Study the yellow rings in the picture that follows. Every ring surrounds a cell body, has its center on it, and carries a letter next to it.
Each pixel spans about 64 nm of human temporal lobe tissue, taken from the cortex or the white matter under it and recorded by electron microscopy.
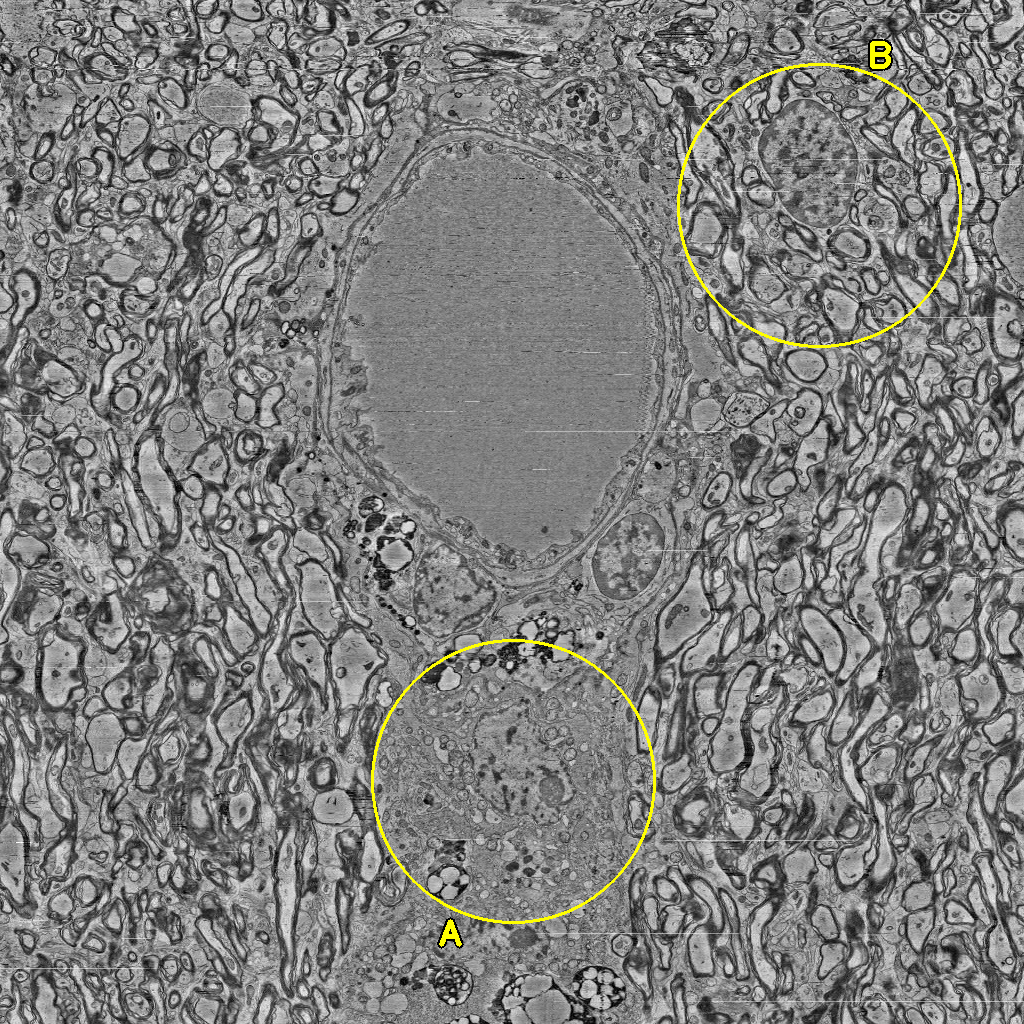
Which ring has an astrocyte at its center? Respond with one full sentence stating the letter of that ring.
The ring centered on the cell asked for carries the letter A.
